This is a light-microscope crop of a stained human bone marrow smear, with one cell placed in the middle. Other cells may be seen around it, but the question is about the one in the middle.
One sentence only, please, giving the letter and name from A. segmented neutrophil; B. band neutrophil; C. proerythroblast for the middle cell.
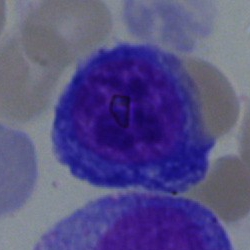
This one is option C, since the cell at the center is a proerythroblast.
